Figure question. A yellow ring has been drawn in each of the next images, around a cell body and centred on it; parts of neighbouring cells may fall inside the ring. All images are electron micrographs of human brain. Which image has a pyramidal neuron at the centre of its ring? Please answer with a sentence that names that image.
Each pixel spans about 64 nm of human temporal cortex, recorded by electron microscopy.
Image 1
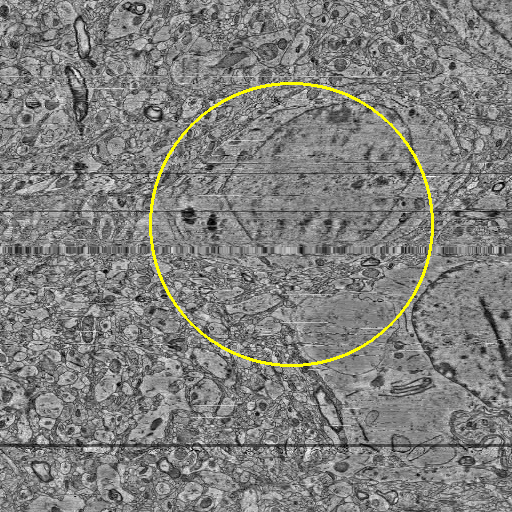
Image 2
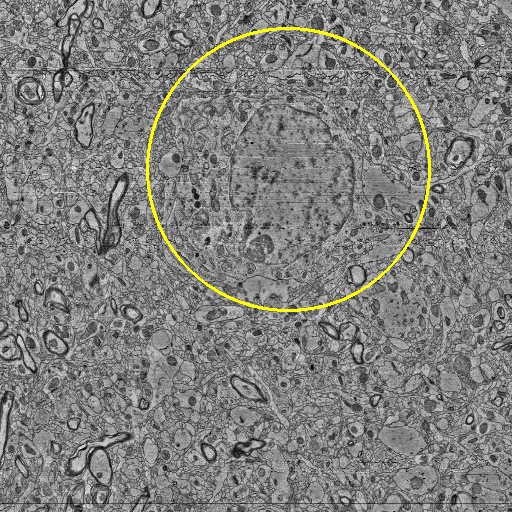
The cell at the centre of the ring in Image 1 is of that kind.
